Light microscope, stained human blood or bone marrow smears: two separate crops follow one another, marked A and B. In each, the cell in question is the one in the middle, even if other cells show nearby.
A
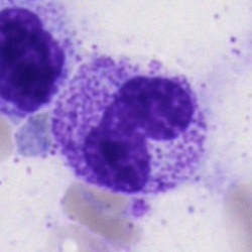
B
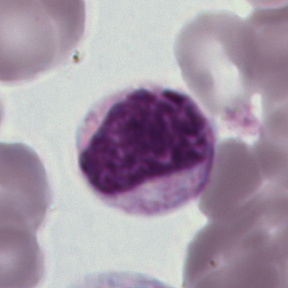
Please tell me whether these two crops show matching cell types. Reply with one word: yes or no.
yes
